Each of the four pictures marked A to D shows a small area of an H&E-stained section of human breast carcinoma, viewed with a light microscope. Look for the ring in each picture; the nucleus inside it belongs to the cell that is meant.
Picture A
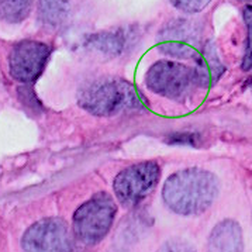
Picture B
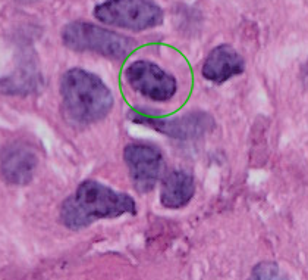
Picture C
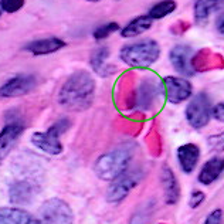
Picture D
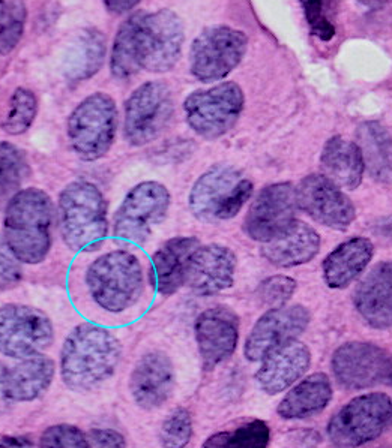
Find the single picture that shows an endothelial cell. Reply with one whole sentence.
The endothelial cell is the one in picture C.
